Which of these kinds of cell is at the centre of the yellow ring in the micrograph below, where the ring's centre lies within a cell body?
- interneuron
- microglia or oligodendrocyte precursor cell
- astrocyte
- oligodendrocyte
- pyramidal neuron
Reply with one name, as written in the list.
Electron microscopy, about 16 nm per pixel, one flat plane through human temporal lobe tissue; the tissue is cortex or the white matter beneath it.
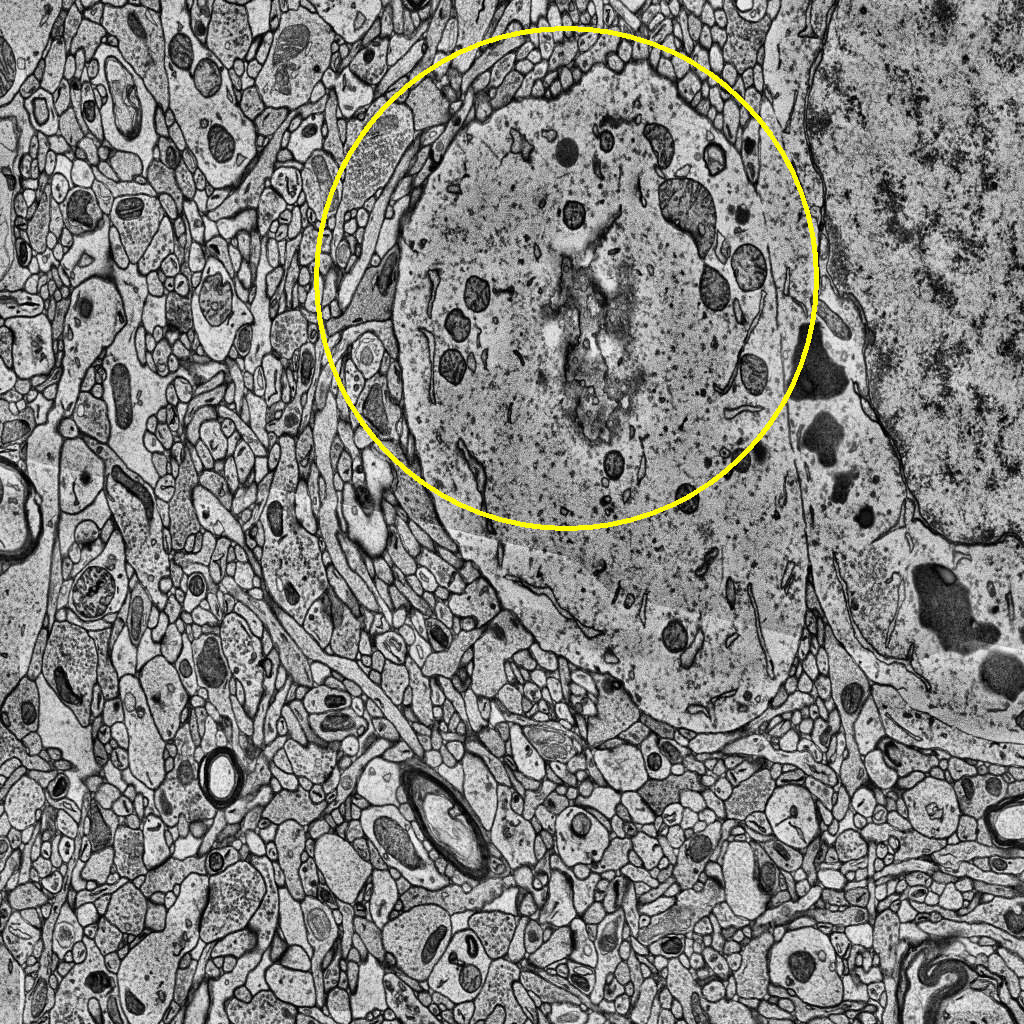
pyramidal neuron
